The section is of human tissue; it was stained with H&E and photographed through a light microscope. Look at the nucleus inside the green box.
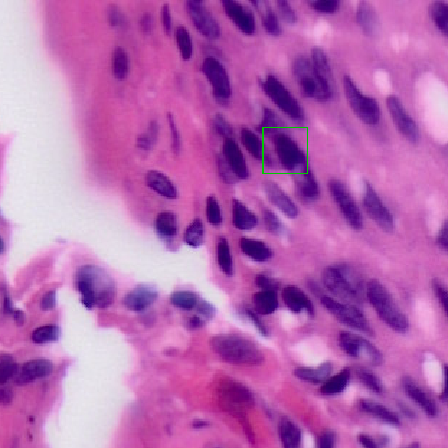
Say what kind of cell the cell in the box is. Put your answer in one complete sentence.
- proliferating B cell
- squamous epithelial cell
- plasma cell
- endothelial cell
What the cell in the box represents is a squamous epithelial cell.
